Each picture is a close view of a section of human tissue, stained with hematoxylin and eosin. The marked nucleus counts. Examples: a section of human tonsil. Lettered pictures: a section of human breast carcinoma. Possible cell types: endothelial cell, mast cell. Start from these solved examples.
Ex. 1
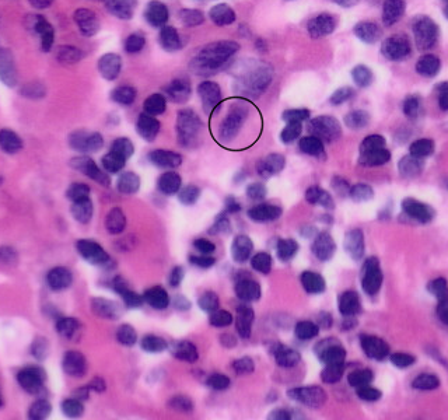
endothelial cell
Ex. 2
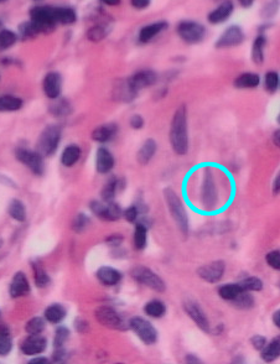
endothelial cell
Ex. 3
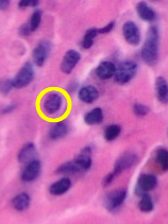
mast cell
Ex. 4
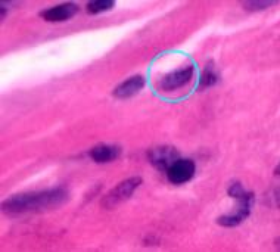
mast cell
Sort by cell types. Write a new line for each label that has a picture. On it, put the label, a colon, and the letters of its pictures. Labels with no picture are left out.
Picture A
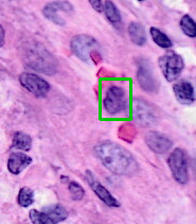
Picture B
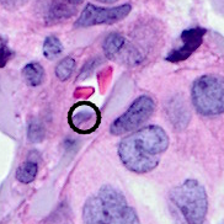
endothelial cell: A, B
